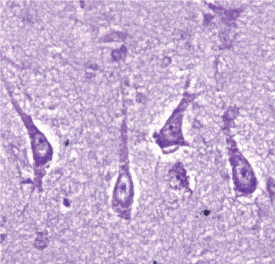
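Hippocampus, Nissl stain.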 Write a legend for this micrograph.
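The cell bodies are triangular or teardrop-shaped, and from the apex of several a thick process runs straight upward, all roughly in the same direction, giving a pyramidal look. Each has a pale round nucleus with a dark nucleolus, surrounded by dense purple cytoplasm. Between them the neuropil is finely granular, with a few small dark nuclei of supporting cells scattered around. The cells are separated from one another rather than crowded.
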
